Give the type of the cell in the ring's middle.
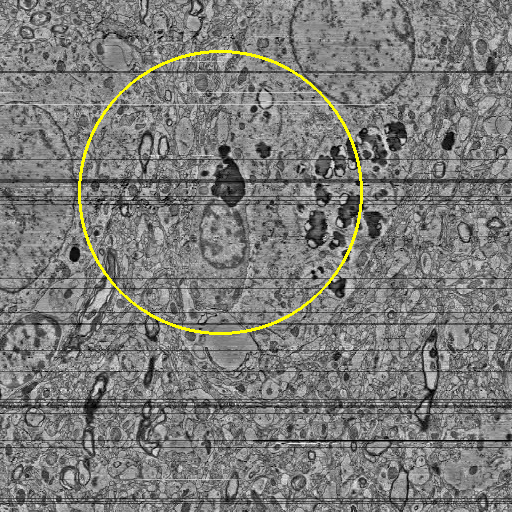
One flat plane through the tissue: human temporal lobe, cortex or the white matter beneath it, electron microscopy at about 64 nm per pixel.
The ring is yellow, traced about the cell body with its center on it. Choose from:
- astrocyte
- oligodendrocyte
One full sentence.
Here, an oligodendrocyte is the cell lying at the center of the yellow ring.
